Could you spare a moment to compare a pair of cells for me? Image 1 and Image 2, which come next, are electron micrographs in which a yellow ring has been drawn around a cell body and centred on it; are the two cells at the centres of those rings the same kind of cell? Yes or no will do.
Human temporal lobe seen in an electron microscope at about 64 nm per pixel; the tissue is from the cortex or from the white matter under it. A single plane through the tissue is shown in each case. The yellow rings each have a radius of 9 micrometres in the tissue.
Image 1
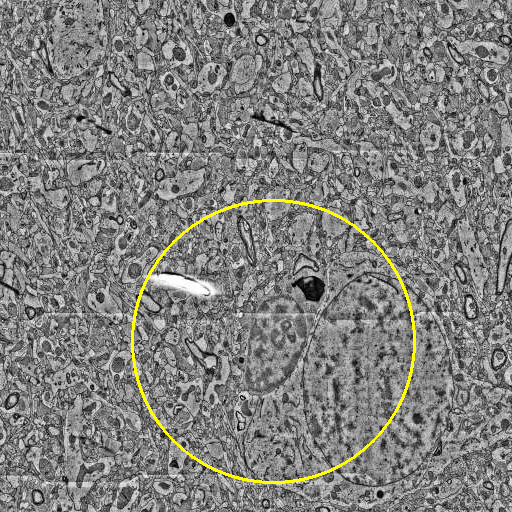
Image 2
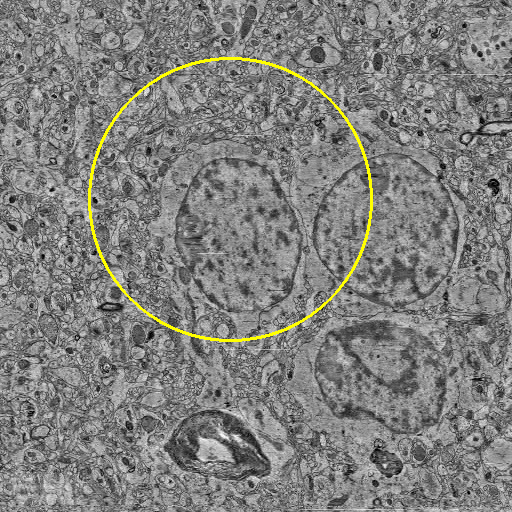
no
